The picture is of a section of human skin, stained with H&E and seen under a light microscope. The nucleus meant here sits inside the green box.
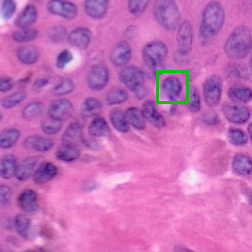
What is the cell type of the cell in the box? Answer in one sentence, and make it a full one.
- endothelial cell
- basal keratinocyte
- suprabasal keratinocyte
In the context of this tissue, the cell in the box is a basal keratinocyte.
